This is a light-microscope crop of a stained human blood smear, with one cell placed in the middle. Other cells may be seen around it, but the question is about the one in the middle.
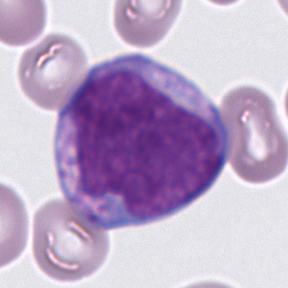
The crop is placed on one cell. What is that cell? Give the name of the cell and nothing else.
atypical promyelocyte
